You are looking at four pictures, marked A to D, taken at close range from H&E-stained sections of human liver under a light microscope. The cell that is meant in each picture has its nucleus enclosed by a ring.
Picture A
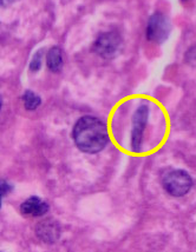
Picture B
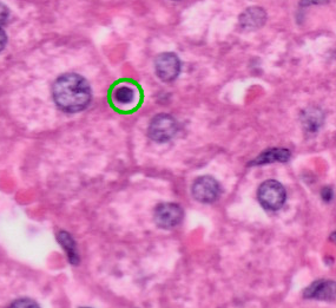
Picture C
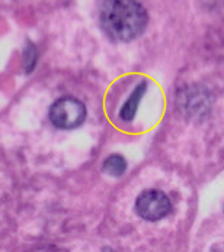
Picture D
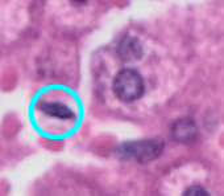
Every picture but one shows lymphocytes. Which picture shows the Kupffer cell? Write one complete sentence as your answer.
The picture with the Kupffer cell is A.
